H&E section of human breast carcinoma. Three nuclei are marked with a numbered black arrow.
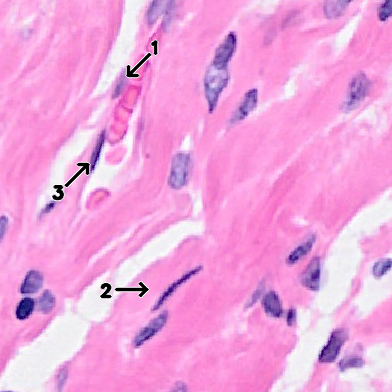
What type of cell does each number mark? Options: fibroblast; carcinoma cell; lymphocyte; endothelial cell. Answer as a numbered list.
1. endothelial cell
2. fibroblast
3. endothelial cell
